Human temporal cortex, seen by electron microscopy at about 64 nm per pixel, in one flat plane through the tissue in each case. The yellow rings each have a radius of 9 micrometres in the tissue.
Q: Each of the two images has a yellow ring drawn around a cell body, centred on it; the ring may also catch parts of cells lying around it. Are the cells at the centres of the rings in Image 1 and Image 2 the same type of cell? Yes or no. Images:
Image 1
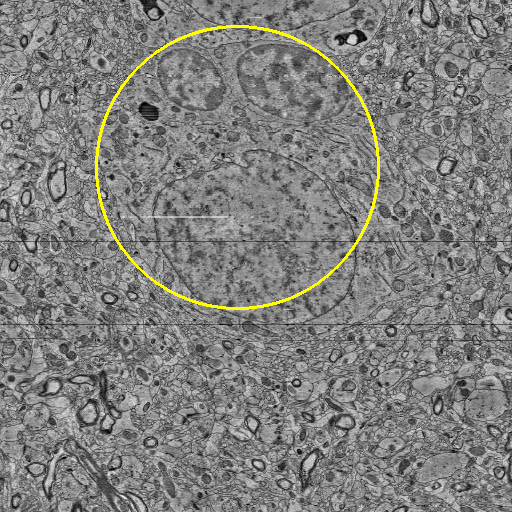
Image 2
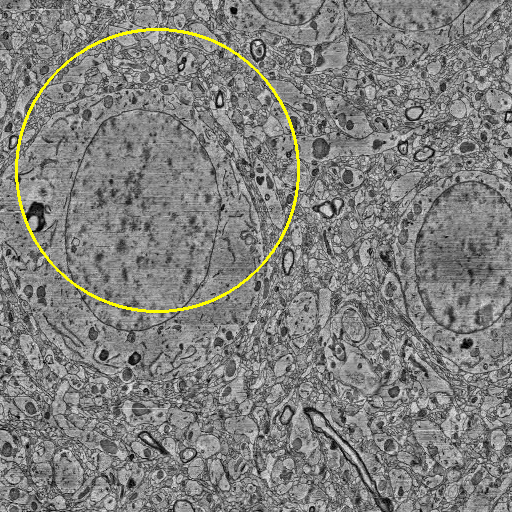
no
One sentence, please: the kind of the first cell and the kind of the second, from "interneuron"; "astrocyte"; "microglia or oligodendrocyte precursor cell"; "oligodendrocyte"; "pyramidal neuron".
The ring in the first picture surrounds an interneuron, and the ring in the second surrounds a pyramidal neuron.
